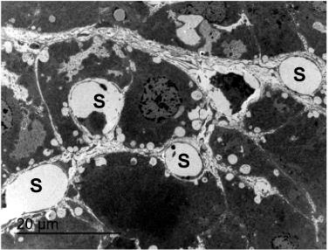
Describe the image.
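This electron micrograph shows liver with several hepatocytes and the sinusoids between them. The hepatocytes are large cells with round nuclei and dense, finely granular cytoplasm. Several pale, rounded sinusoidal lumens lie among them, and the narrow spaces along the cell borders are filled with many small pale projections and round profiles. Strands of lighter, fibrous-looking material run between the cells.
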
